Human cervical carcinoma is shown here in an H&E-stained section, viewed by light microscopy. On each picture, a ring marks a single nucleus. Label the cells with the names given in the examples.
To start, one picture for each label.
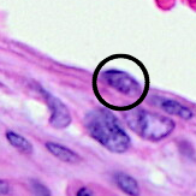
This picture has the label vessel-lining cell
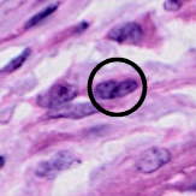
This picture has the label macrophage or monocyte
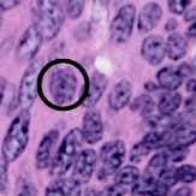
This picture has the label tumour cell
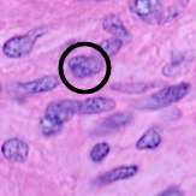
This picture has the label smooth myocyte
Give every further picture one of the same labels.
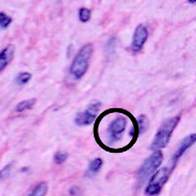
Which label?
smooth myocyte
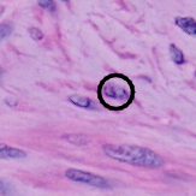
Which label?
smooth myocyte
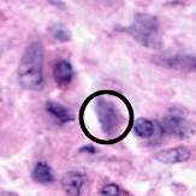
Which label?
macrophage or monocyte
